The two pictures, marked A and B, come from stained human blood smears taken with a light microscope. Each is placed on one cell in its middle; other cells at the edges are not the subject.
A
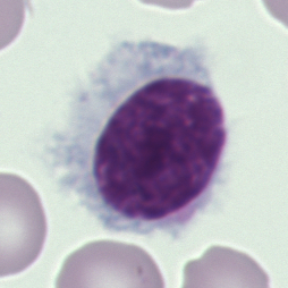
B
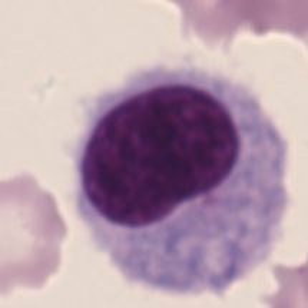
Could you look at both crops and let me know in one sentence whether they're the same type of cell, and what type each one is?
Yes, the two crops share the same answer, hairy cells.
